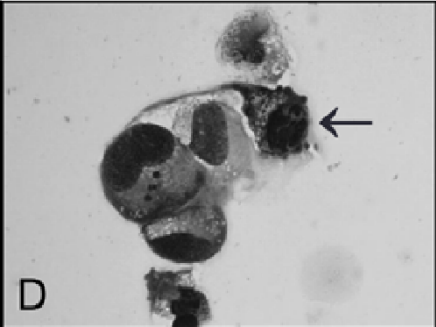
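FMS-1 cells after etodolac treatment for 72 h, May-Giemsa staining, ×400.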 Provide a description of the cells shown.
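At the right edge of the group one cell stands out: it is smaller and its nuclear material is condensed and broken into dark clumps, a picture of nuclear fragmentation. The intact cells beside it keep smooth, whole nuclei and a fine granular cytoplasm.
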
